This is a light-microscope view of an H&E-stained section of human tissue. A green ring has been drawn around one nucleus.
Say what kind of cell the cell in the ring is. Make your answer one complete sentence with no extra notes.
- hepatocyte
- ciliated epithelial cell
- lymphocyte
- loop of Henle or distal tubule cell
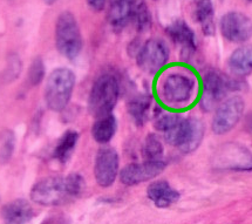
At the level of cell identity, the cell in the ring is a ciliated epithelial cell.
